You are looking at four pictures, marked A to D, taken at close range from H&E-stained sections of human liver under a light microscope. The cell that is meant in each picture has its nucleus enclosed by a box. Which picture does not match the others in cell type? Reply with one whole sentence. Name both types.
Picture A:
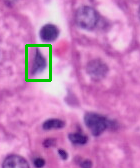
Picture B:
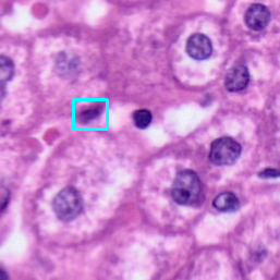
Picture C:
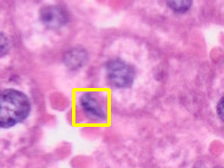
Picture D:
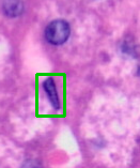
The others show endothelial cells, but picture D shows a “fibroblast or stellate cell”.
